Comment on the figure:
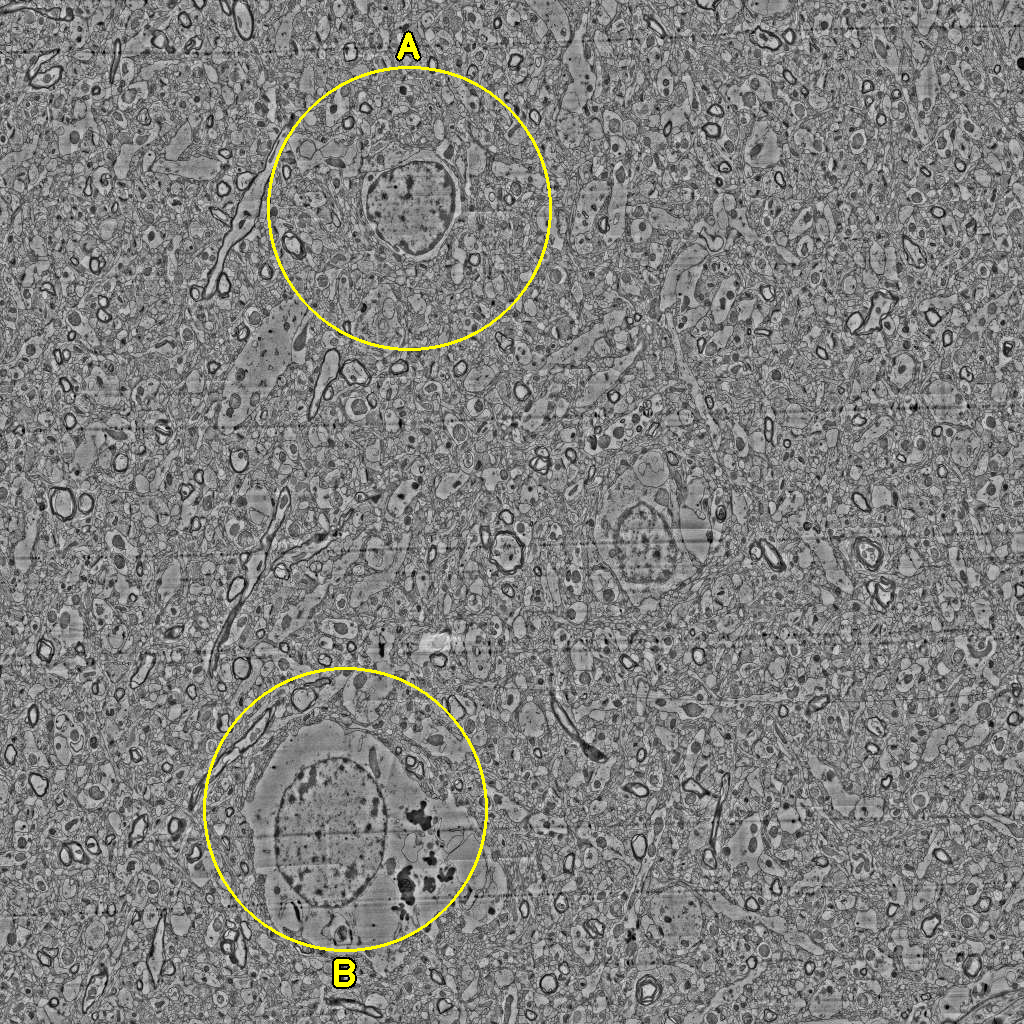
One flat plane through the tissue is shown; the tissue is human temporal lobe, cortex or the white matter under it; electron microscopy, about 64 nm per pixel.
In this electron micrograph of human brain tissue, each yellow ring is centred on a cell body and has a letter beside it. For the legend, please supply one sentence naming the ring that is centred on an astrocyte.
Ring B is centred on that cell.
